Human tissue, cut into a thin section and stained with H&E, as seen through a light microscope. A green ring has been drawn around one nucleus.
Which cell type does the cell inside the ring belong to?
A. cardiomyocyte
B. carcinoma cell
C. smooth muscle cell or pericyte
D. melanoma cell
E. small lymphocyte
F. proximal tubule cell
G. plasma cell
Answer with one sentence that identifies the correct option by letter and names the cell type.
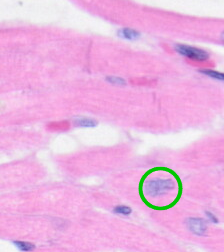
Best answer: option A, with the cell inside the ring being a cardiomyocyte.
